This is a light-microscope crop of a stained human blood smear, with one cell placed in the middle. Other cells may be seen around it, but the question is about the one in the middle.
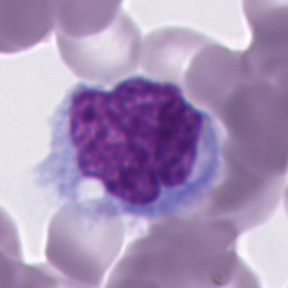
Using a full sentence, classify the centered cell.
What the crop centres on is a monocyte.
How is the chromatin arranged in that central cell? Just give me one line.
In this nucleus, the chromatin is arranged in coarse clumps.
